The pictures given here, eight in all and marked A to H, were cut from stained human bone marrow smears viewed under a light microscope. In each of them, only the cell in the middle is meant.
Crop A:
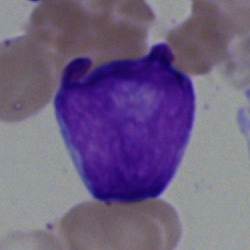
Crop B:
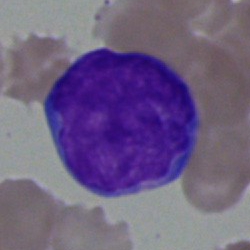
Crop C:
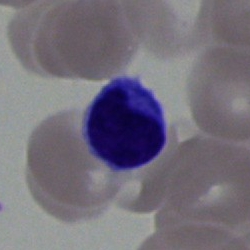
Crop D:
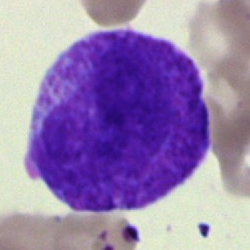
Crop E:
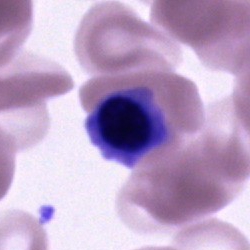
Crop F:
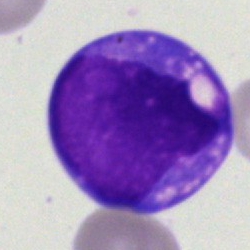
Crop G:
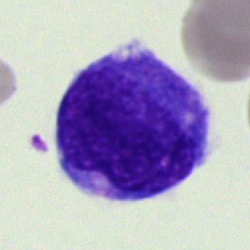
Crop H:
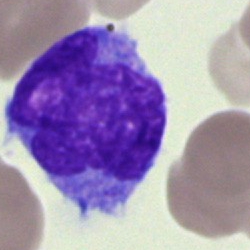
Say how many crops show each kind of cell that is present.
blast: 4
monocyte: 2
lymphocyte: 1
erythroblast: 1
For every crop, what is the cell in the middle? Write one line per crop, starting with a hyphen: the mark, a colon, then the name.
- A: blast
- B: blast
- C: lymphocyte
- D: blast
- E: erythroblast
- F: blast
- G: monocyte
- H: monocyte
